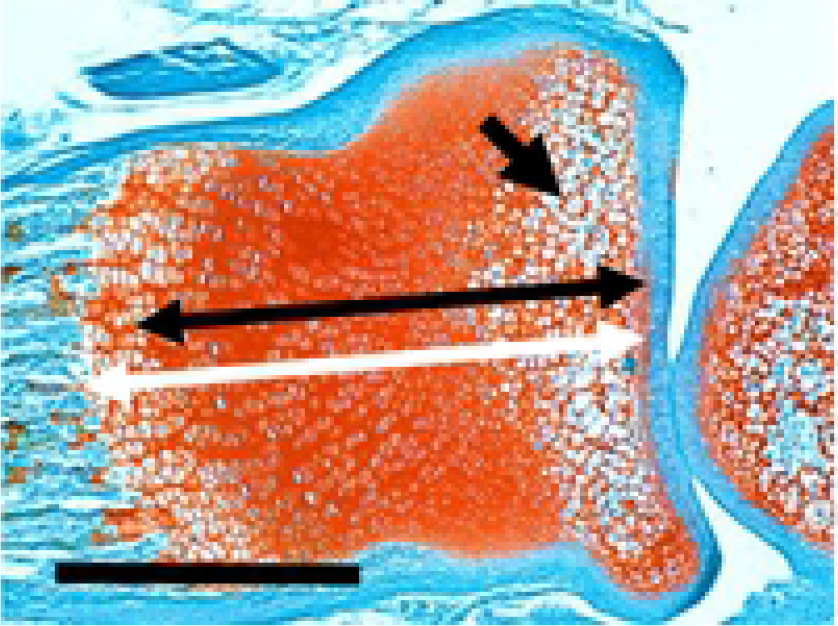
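This is the cartilaginous end of a growing long bone, filled with chondrocytes embedded in a matrix stained intensely orange-red. Near the upper part of the bone end a patch of enlarged, pale cells with clear spaces around them is seen. The whole cartilage is wrapped by a thin blue-green stained layer of surrounding tissue, and a neighbouring cartilage element lies across the joint space on the right.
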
